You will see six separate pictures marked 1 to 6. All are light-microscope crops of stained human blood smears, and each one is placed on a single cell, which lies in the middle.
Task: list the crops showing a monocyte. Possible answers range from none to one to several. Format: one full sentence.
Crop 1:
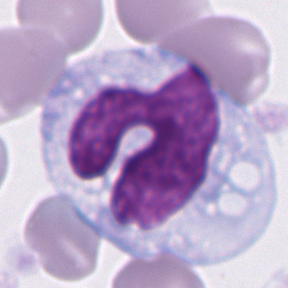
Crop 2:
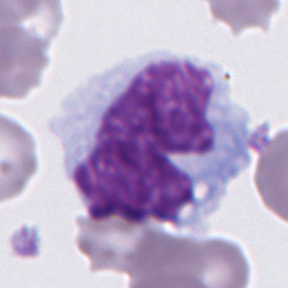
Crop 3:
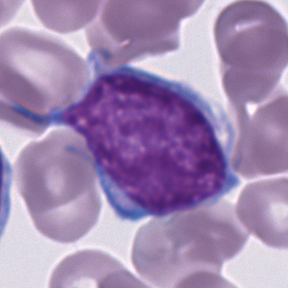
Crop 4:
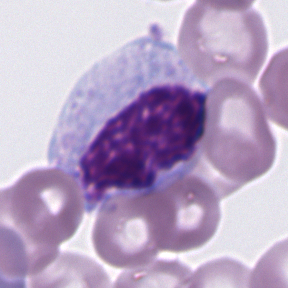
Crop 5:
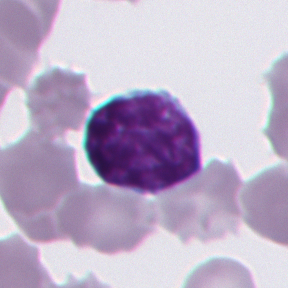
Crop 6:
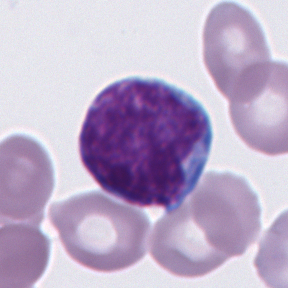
Showing monocytes at the centre are crops 1, 2 and 4.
